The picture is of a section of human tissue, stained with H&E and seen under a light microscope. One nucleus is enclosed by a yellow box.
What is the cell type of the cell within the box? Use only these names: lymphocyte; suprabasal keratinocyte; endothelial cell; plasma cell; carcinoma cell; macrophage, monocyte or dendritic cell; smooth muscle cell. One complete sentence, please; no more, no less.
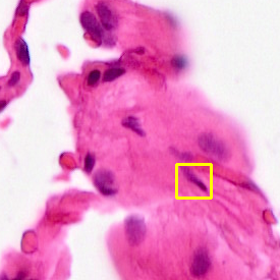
The identity of the cell within the box: it is an endothelial cell.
